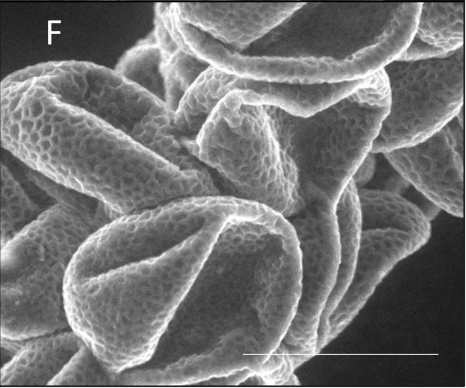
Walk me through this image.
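Scanning electron micrograph of pollen grains clustered together. The grains are not plump but shrunken and caved in, with their walls folded and creased into sharp ridges, though a net-like pitted surface is still visible on them.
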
